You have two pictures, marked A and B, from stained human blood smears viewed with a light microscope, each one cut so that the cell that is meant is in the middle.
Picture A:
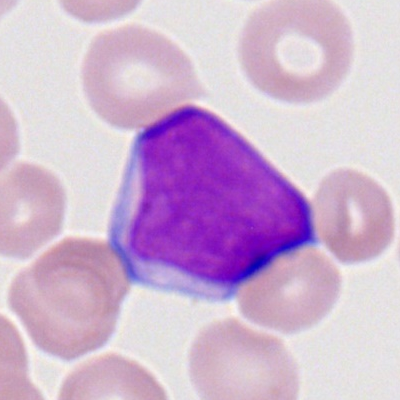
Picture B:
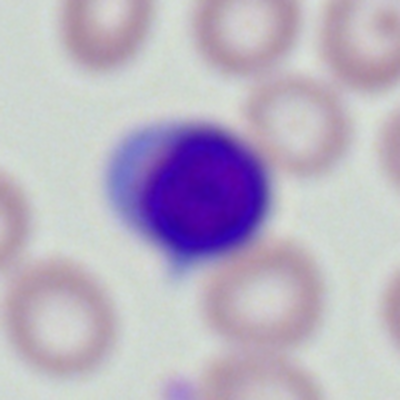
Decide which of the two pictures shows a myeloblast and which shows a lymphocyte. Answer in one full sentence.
Picture B shows a lymphocyte, while picture A shows a myeloblast.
